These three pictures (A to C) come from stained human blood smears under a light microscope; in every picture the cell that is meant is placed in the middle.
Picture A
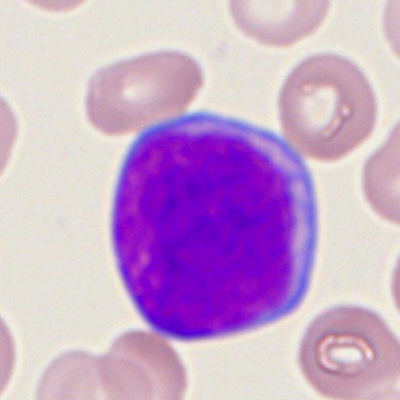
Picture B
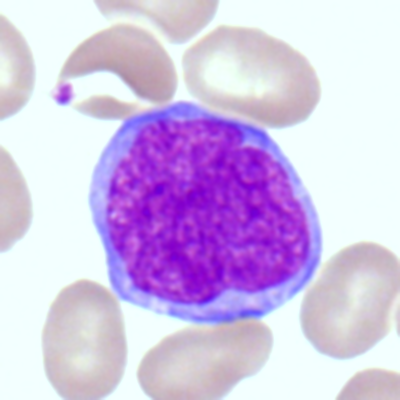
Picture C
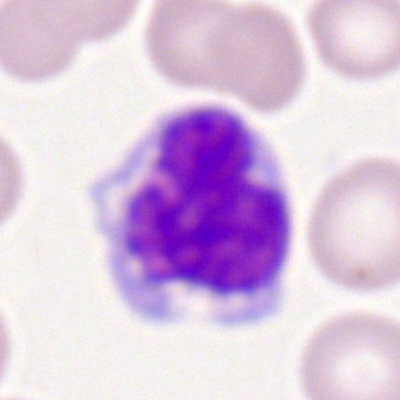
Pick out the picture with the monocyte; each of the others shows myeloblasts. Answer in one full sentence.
The monocyte is the one in picture C.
